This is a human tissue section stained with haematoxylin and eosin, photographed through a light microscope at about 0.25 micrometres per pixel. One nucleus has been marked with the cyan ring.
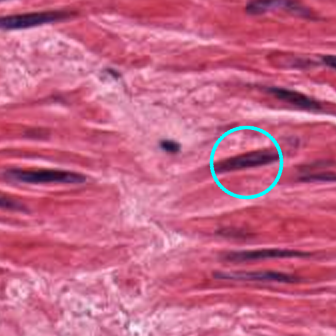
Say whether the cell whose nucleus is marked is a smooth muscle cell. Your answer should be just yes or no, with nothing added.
yes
